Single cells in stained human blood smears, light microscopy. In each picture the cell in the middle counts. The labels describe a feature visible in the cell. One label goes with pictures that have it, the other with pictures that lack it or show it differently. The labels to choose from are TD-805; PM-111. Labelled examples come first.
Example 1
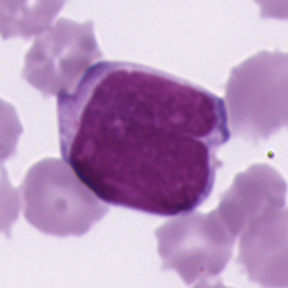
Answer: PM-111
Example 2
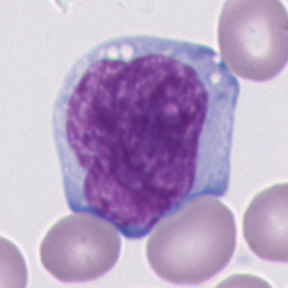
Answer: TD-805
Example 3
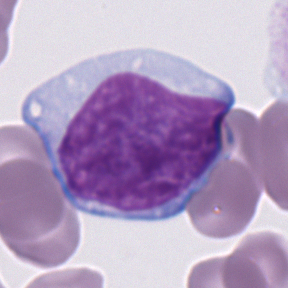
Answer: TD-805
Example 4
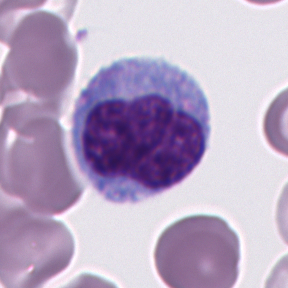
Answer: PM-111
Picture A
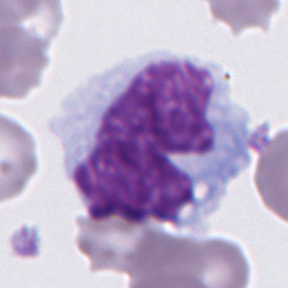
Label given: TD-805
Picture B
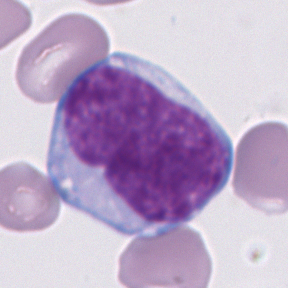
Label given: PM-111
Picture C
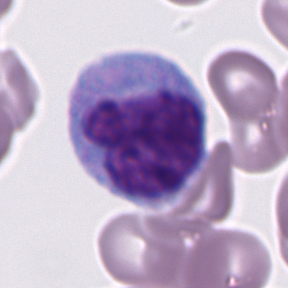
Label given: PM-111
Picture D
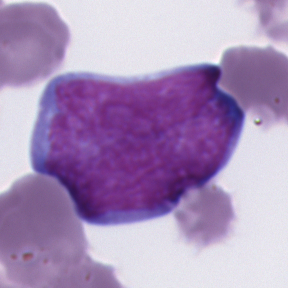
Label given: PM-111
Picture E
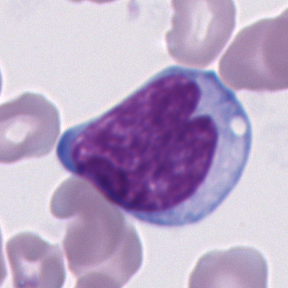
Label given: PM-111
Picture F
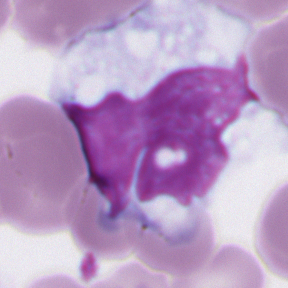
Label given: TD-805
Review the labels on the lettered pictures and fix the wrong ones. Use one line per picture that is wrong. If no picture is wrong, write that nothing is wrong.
B should be TD-805, not PM-111
E should be TD-805, not PM-111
